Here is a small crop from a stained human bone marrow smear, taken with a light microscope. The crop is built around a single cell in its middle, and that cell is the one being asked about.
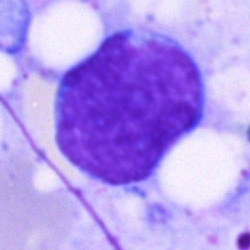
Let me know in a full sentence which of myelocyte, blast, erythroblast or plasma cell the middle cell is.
The cell centred in this crop is categorized as a blast.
